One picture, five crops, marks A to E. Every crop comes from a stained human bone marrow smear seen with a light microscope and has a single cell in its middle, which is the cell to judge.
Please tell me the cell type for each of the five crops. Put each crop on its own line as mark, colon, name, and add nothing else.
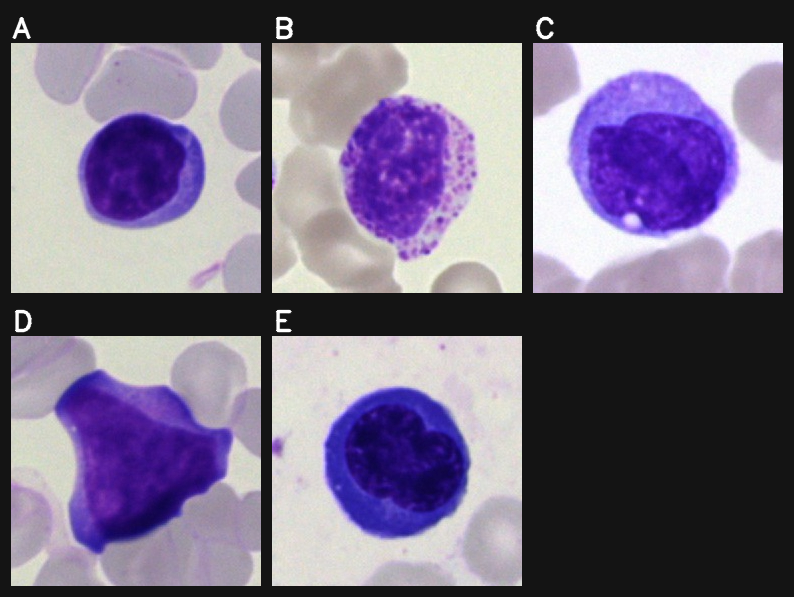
A: lymphocyte
B: basophil
C: blast
D: blast
E: plasma cell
